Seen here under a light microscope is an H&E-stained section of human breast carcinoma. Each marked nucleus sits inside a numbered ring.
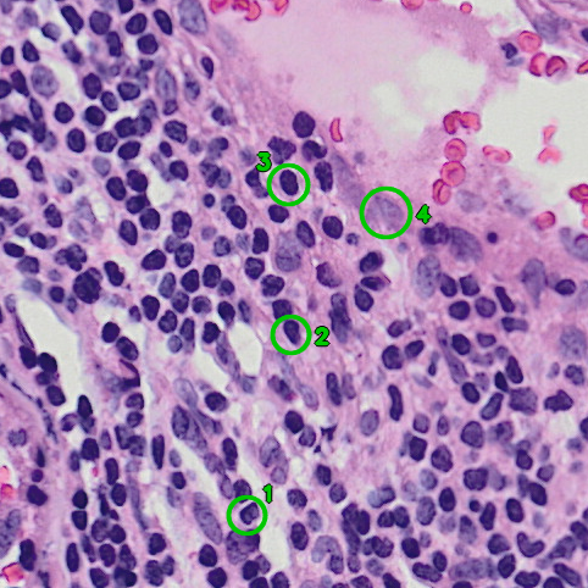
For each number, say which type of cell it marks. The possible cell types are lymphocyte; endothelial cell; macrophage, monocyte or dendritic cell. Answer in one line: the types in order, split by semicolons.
lymphocyte; lymphocyte; lymphocyte; endothelial cell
